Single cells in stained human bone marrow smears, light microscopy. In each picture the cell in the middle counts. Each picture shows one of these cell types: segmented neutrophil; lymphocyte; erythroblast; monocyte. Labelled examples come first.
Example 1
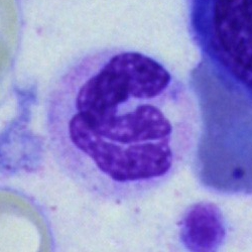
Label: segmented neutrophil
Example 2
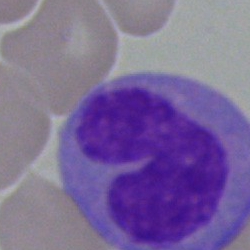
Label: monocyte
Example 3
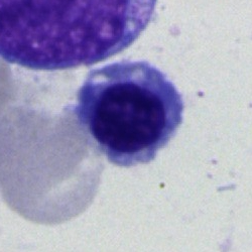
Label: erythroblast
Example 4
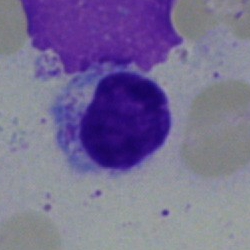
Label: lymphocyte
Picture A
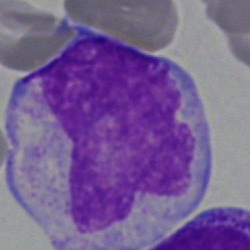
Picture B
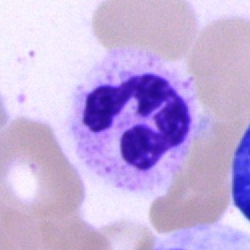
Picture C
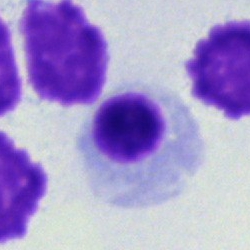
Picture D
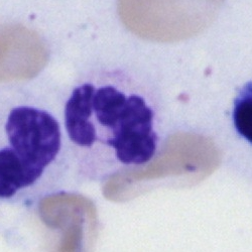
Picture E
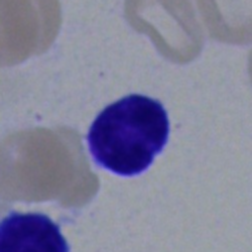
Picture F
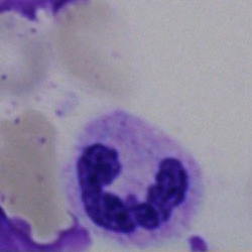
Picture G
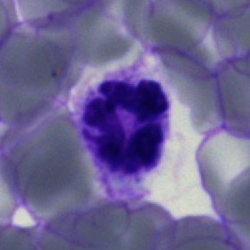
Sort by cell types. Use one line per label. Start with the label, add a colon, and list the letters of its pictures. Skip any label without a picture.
segmented neutrophil: B, D, F, G
lymphocyte: E
erythroblast: C
monocyte: A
